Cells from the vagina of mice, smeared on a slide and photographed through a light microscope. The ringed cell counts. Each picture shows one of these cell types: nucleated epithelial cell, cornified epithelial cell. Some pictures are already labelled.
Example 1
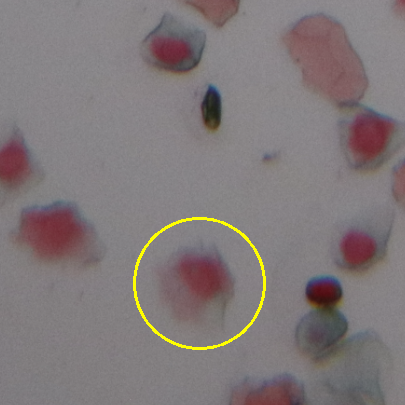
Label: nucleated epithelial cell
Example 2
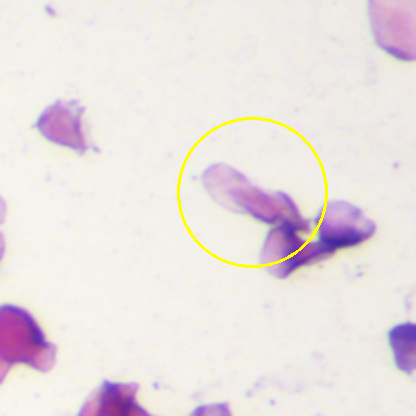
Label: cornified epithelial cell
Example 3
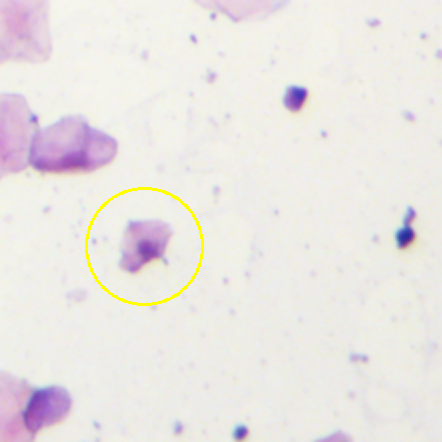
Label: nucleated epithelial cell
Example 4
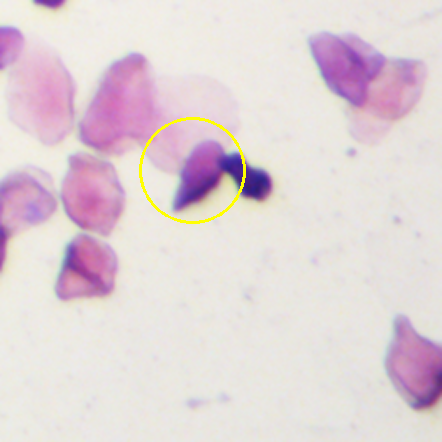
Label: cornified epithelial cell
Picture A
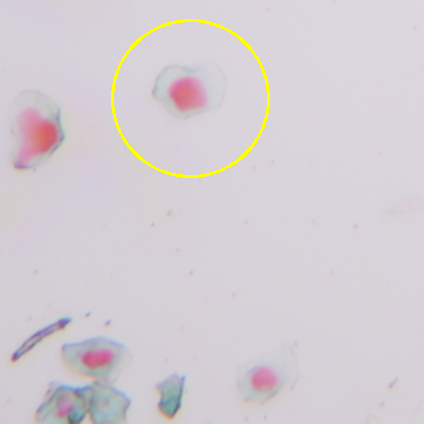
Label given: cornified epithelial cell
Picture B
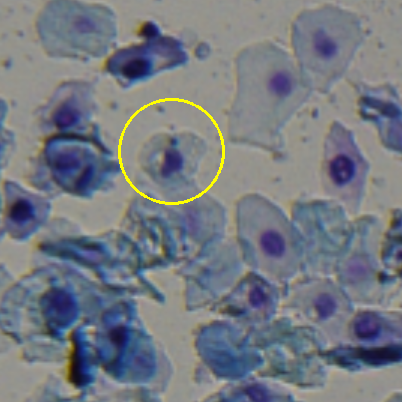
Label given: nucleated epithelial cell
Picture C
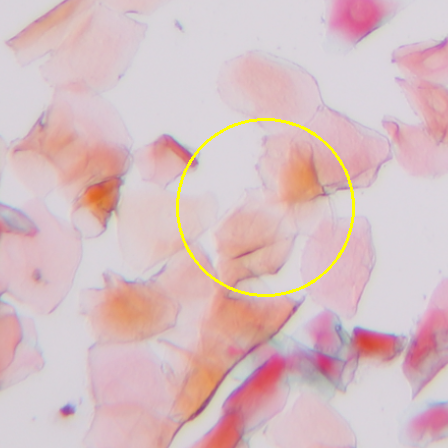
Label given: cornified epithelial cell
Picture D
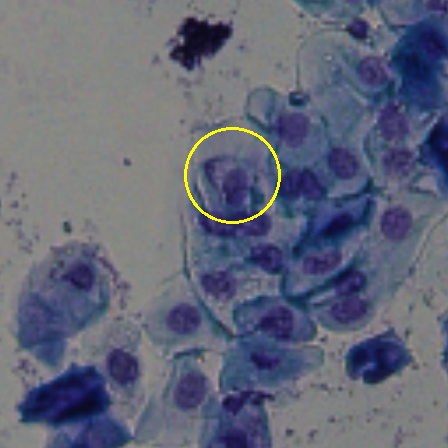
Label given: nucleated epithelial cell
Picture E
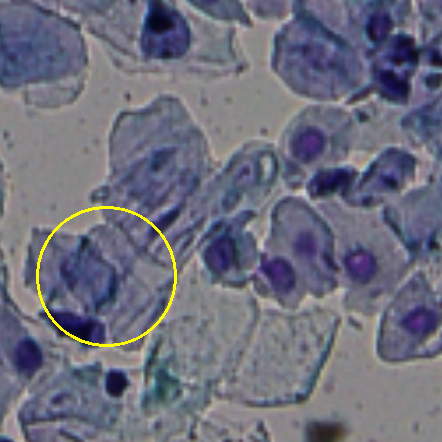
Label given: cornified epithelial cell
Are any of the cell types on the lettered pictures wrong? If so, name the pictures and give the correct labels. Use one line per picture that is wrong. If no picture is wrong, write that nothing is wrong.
A: nucleated epithelial cell, not cornified epithelial cell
